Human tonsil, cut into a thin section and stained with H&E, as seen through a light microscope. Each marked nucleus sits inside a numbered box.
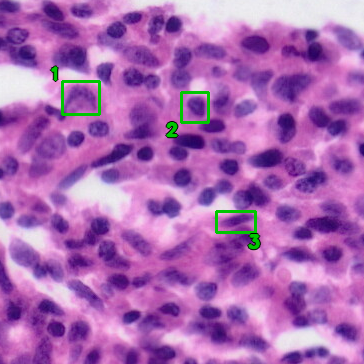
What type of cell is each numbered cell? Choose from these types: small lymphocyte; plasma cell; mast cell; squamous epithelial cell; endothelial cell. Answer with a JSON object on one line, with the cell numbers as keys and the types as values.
{"1": "squamous epithelial cell", "2": "plasma cell", "3": "squamous epithelial cell"}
